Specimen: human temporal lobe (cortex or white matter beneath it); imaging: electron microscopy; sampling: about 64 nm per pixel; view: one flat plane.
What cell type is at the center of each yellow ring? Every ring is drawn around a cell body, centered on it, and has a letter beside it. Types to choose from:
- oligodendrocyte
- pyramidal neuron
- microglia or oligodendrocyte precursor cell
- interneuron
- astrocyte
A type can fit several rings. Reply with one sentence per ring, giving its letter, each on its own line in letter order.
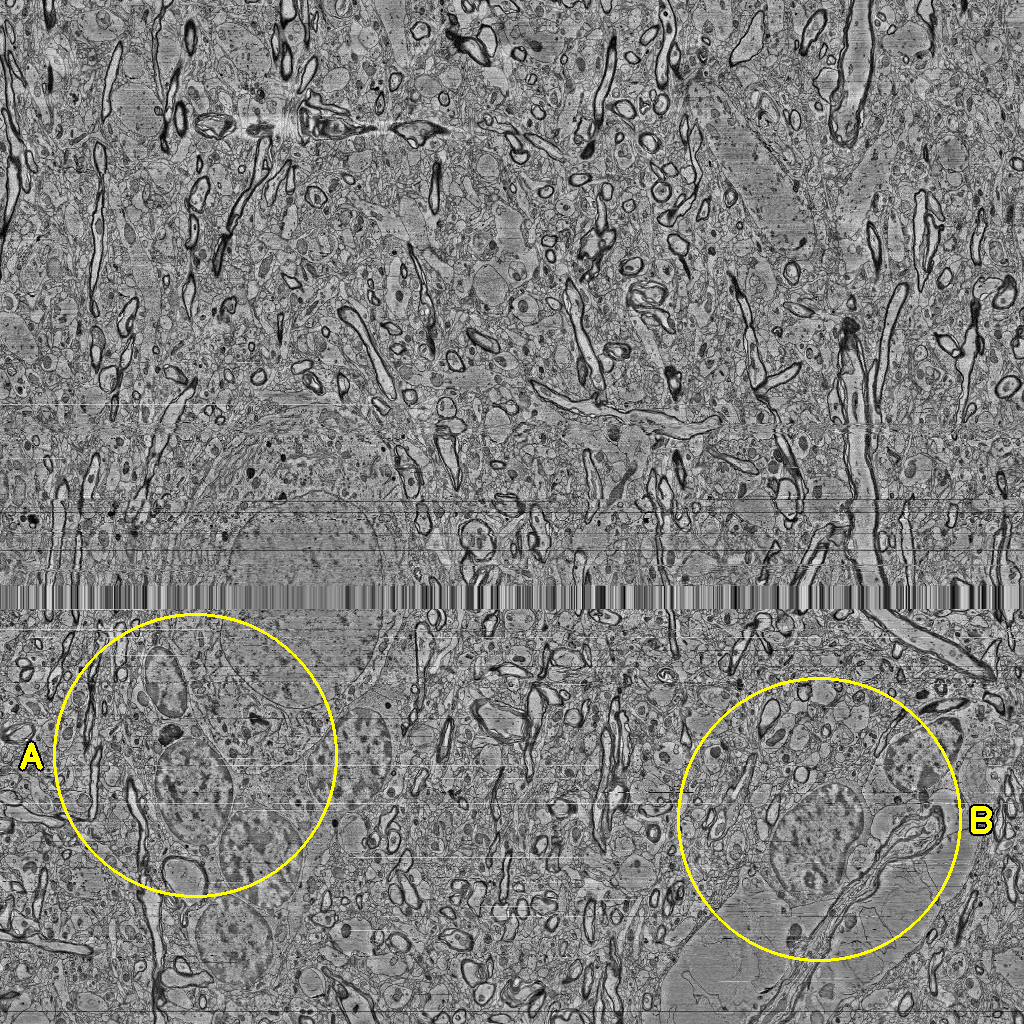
Ring A is placed around an oligodendrocyte.
Ring B is placed around an oligodendrocyte.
